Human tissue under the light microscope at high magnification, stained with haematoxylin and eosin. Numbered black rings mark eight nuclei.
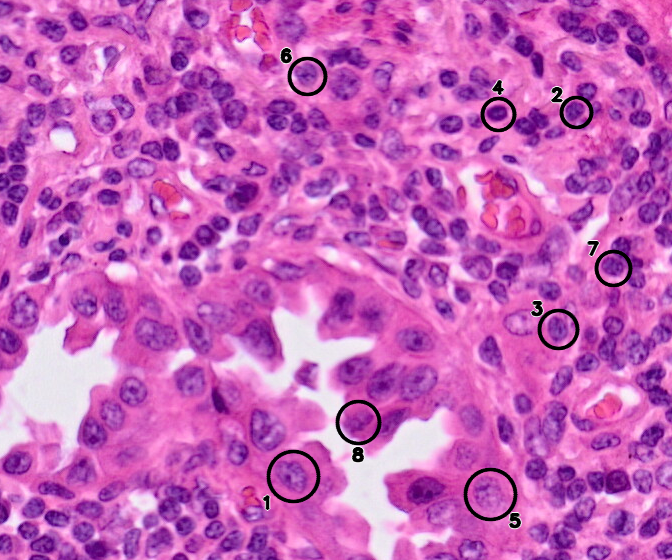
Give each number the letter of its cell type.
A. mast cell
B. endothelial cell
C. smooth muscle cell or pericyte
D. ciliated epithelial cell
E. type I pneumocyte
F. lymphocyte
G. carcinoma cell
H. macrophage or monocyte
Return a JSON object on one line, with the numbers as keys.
{"1": "G", "2": "F", "3": "F", "4": "F", "5": "G", "6": "F", "7": "F", "8": "G"}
